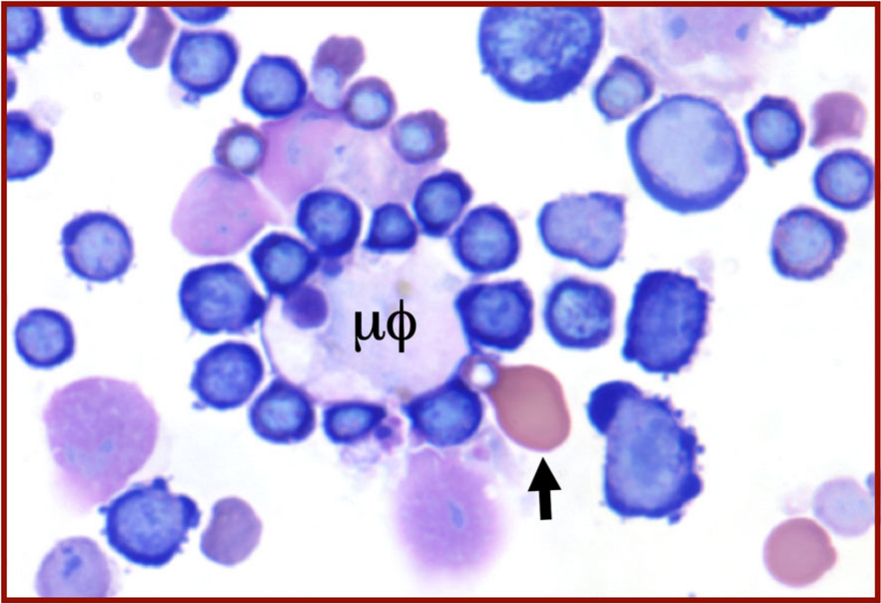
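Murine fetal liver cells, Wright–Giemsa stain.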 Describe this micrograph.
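At the edge of the cluster sits a larger cell whose cytoplasm stains orange-pink, a well-hemoglobinized primitive erythroblast. Scattered loose cells of varied size lie around the island.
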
